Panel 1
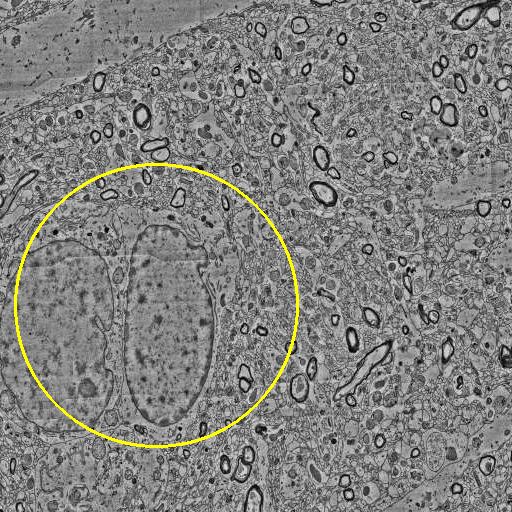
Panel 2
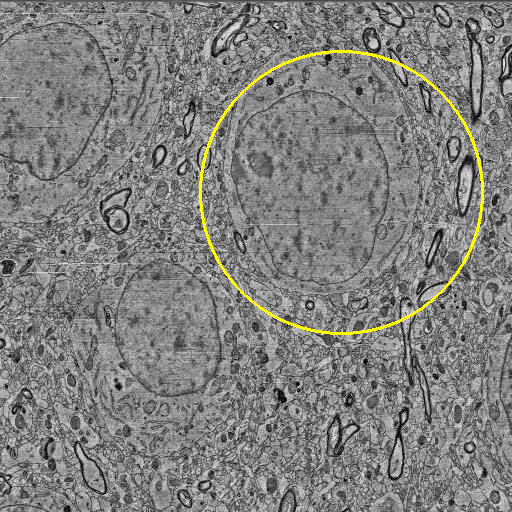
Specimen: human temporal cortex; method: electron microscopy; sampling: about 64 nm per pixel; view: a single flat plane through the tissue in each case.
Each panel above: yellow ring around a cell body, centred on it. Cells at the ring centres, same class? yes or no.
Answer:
no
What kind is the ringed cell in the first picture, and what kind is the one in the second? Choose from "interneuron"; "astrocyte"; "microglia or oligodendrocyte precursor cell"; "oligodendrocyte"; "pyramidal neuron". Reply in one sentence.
The first cell is a microglial cell or oligodendrocyte precursor cell; the second is a pyramidal neuron.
